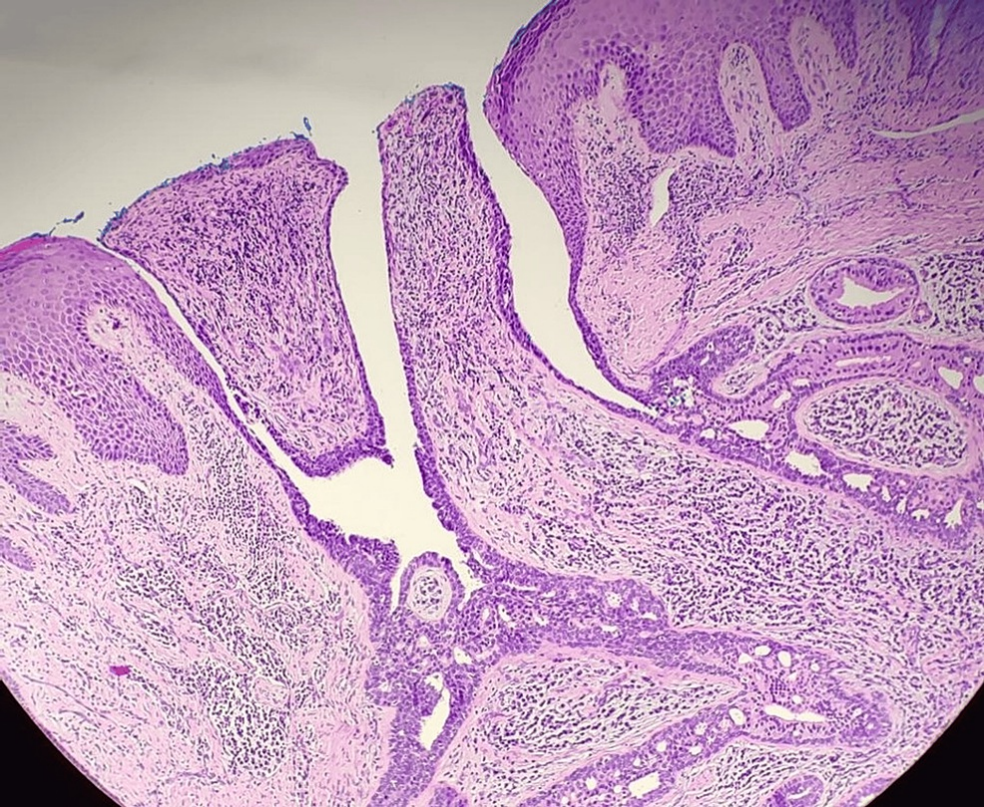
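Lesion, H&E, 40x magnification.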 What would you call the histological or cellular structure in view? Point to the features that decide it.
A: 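Finger-like projections with stromal cores rise into a central cleft. The projections are covered by a thin epithelial lining. Small tubular lumens lined by epithelium lie in the lower right.
Hence: papillary structures.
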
